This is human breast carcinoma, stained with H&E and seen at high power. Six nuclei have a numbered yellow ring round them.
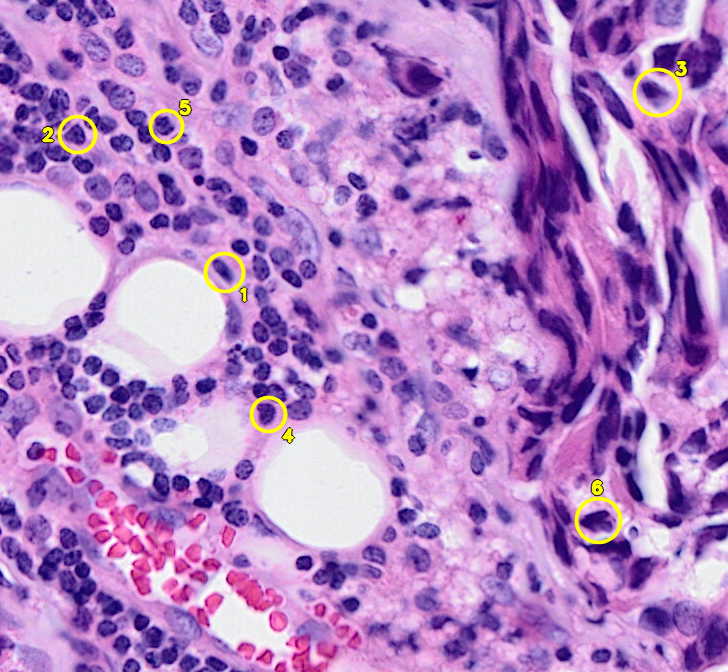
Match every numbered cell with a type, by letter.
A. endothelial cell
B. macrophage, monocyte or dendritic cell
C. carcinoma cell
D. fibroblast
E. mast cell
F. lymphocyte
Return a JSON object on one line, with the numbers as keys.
{"1": "F", "2": "F", "3": "C", "4": "F", "5": "F", "6": "C"}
